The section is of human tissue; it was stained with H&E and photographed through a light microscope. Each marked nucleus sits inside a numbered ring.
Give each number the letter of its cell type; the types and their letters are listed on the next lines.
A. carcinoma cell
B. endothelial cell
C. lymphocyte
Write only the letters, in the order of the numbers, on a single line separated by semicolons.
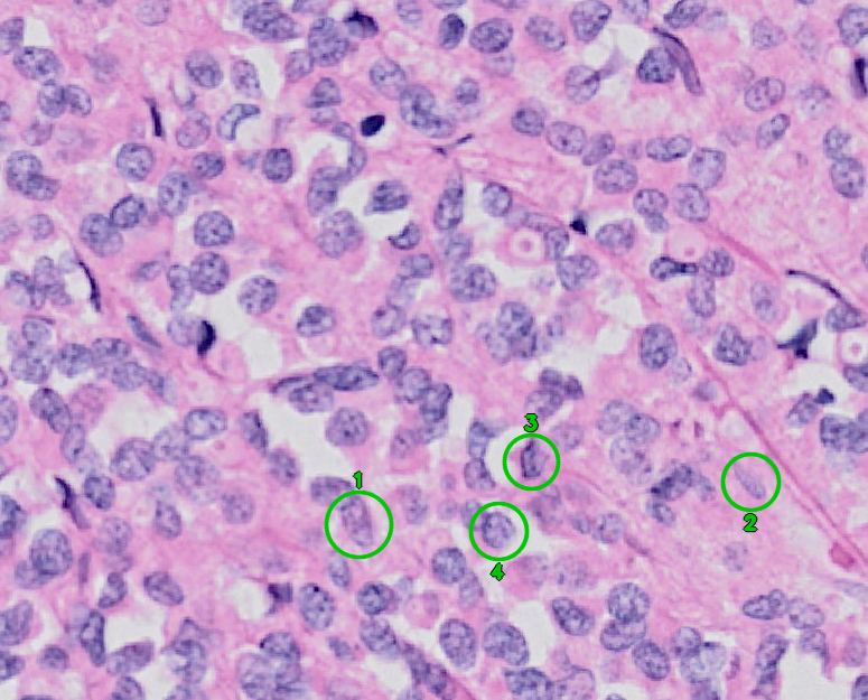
A; B; A; A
